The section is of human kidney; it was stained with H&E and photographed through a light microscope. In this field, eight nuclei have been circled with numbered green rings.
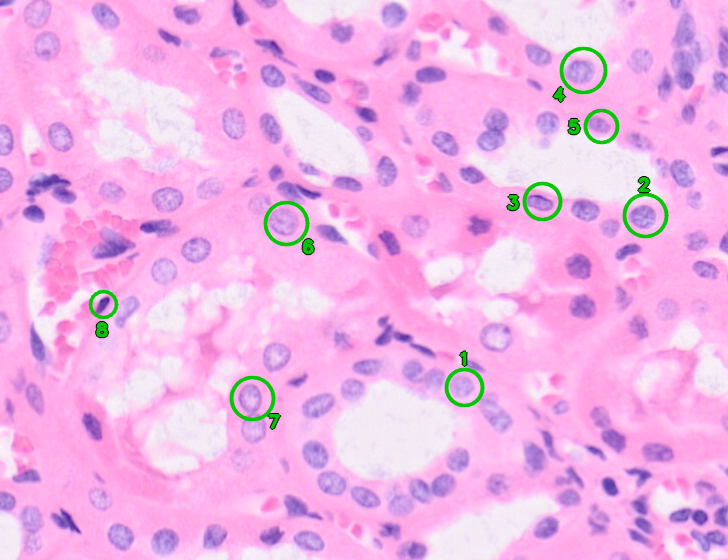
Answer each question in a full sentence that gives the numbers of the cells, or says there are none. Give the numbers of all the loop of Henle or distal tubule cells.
Identification: the cells with numbers 2, 3, 4 and 5 are loop of Henle or distal tubule cells.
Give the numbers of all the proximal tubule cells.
Within this tissue, the cells numbered 6 and 7 are proximal tubule cells.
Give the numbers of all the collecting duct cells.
Of the numbered cells, only cell 1 is a collecting duct cell.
